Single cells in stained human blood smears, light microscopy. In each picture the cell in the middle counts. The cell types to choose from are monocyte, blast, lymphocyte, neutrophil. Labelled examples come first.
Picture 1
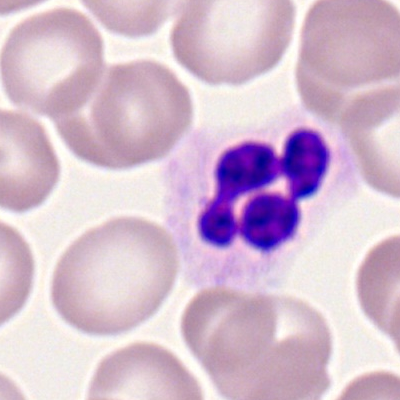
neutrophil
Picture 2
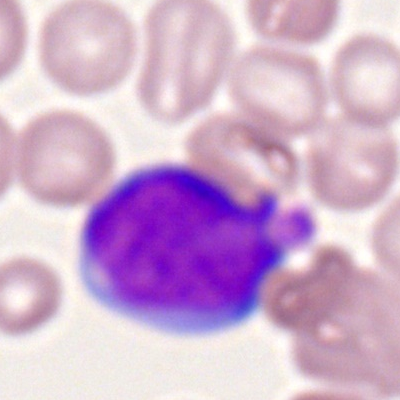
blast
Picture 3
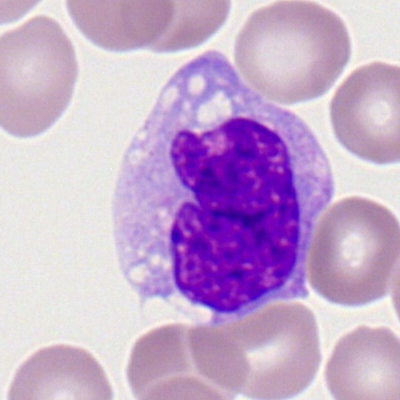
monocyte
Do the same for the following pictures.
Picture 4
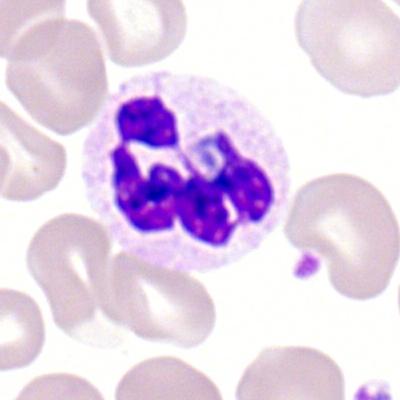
neutrophil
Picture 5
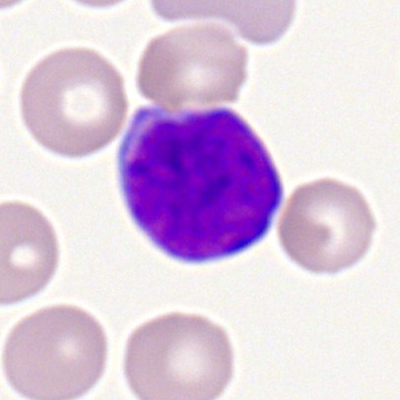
blast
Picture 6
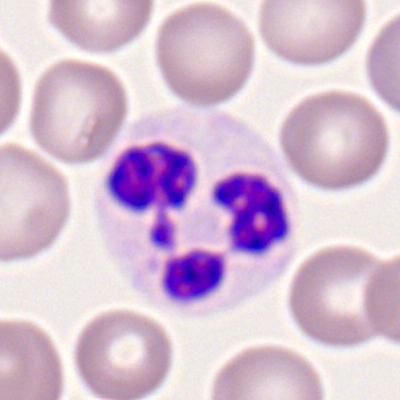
neutrophil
